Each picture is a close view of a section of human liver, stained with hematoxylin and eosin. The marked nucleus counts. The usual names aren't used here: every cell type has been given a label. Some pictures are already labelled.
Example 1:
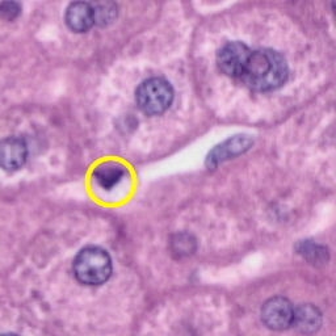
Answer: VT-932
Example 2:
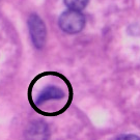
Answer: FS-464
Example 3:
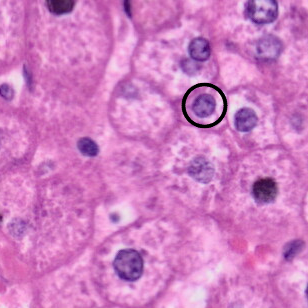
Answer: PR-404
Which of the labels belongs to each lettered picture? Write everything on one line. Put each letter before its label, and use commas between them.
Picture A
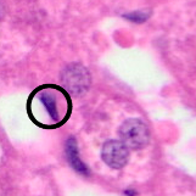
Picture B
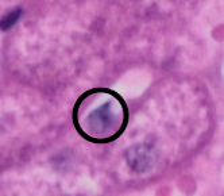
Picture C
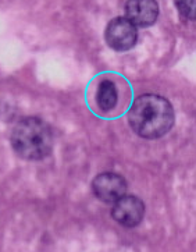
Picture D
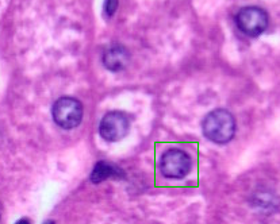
A FS-464, B VT-932, C FS-464, D PR-404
